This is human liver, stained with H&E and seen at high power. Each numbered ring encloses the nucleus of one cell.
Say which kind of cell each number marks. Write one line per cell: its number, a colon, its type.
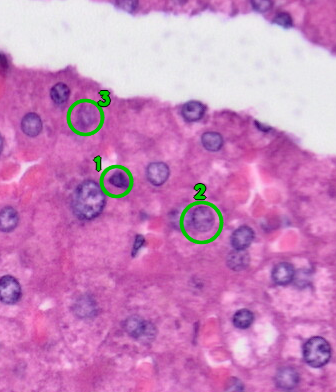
1: fibroblast or stellate cell
2: hepatocyte
3: hepatocyte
